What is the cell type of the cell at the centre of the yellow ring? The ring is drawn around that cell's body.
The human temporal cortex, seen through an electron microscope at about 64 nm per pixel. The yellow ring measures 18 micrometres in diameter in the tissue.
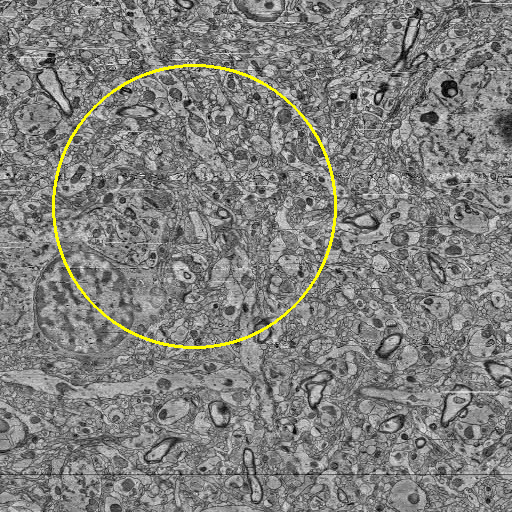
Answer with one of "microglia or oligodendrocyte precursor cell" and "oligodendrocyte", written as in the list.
microglia or oligodendrocyte precursor cell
